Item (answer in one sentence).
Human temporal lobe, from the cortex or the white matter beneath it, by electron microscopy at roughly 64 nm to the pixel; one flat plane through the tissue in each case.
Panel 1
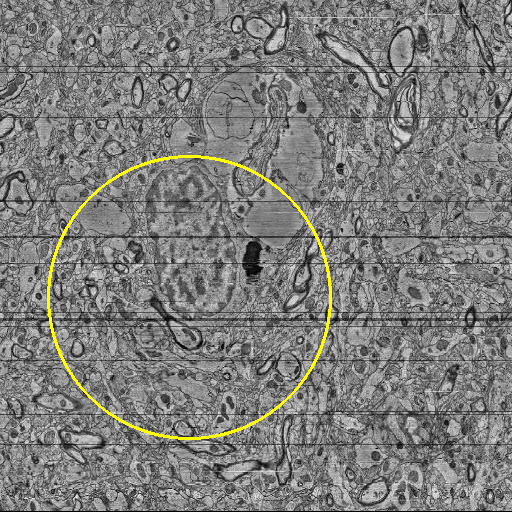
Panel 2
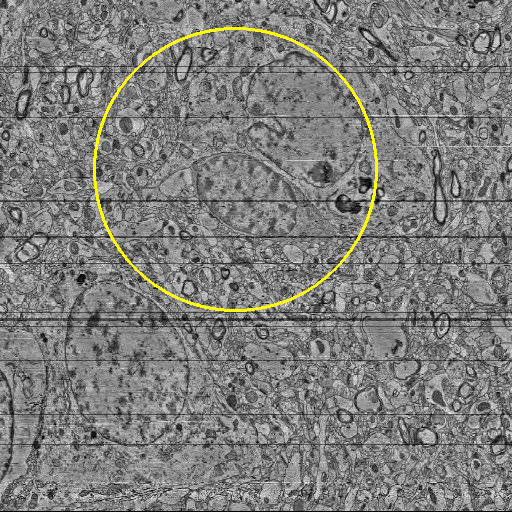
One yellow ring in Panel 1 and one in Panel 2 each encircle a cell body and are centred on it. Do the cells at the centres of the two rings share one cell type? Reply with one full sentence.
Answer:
Yes, Panel 1 and Panel 2 show cells of one type at the centres of their rings.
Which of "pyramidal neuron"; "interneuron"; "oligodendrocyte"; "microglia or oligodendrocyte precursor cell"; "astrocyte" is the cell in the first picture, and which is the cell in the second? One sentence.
Each of the two pictures has an oligodendrocyte at the ring centre.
